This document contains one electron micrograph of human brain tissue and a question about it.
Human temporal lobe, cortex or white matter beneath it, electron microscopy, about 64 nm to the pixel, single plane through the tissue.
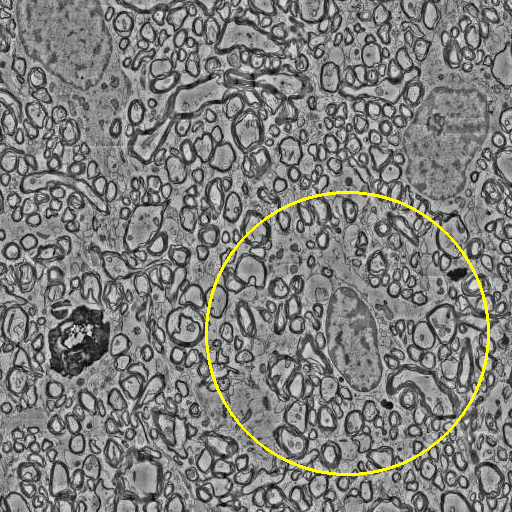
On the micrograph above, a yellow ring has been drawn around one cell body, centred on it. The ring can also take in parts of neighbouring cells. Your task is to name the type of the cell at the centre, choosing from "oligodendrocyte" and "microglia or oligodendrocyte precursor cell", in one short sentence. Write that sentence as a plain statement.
Here the ring is centred on a microglial cell or oligodendrocyte precursor cell.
